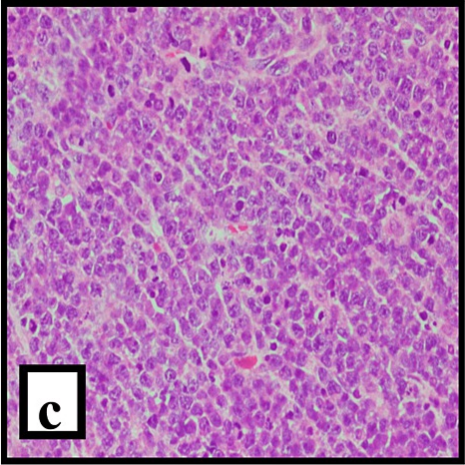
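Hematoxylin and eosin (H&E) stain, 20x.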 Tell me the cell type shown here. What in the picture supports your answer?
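Medium to large lymphoid cells. Sheets of discohesive round cells with oval to round nuclei. Nuclei look open with some visible nucleoli. A thin rim of pale pink cytoplasm surrounds each nucleus.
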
